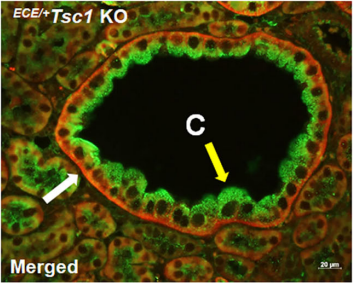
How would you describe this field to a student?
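A large cyst in the kidney is lined by a single layer of cuboidal epithelial cells surrounding an empty dark lumen. The red signal runs as a sharp continuous line along the outer, basal side of the lining cells. The green signal is granular and gathers in the cytoplasm toward the lumen-facing, apical side of the same cells. Dark unstained nuclei can be made out within the lining layer between the red and green zones. Around the cyst lie cross-sections of smaller tubules with their own thin epithelial walls, some showing faint green and red signal.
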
